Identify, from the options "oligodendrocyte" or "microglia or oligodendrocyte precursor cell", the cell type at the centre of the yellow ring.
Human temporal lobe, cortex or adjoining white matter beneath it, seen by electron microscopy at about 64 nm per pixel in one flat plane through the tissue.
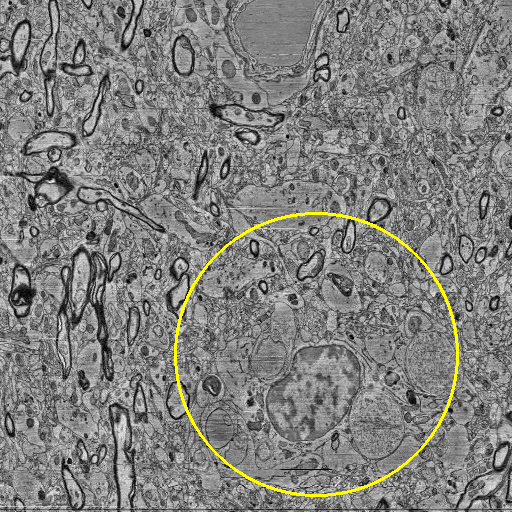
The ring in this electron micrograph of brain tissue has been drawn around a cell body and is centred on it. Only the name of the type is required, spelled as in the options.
microglia or oligodendrocyte precursor cell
